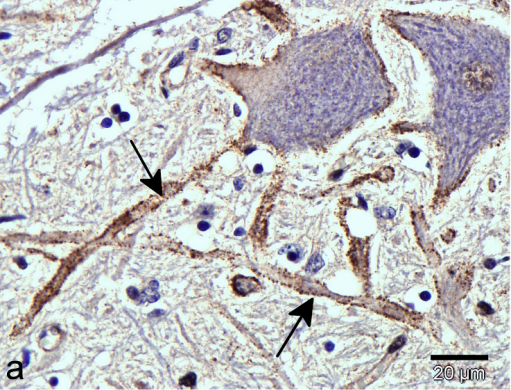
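Thick dendrites run out from the cell bodies, and fine brown dots line their edges in parallel rows and rim the cell bodies. Small dark nuclei of smaller cells lie in the loose, clefted tissue around them.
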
